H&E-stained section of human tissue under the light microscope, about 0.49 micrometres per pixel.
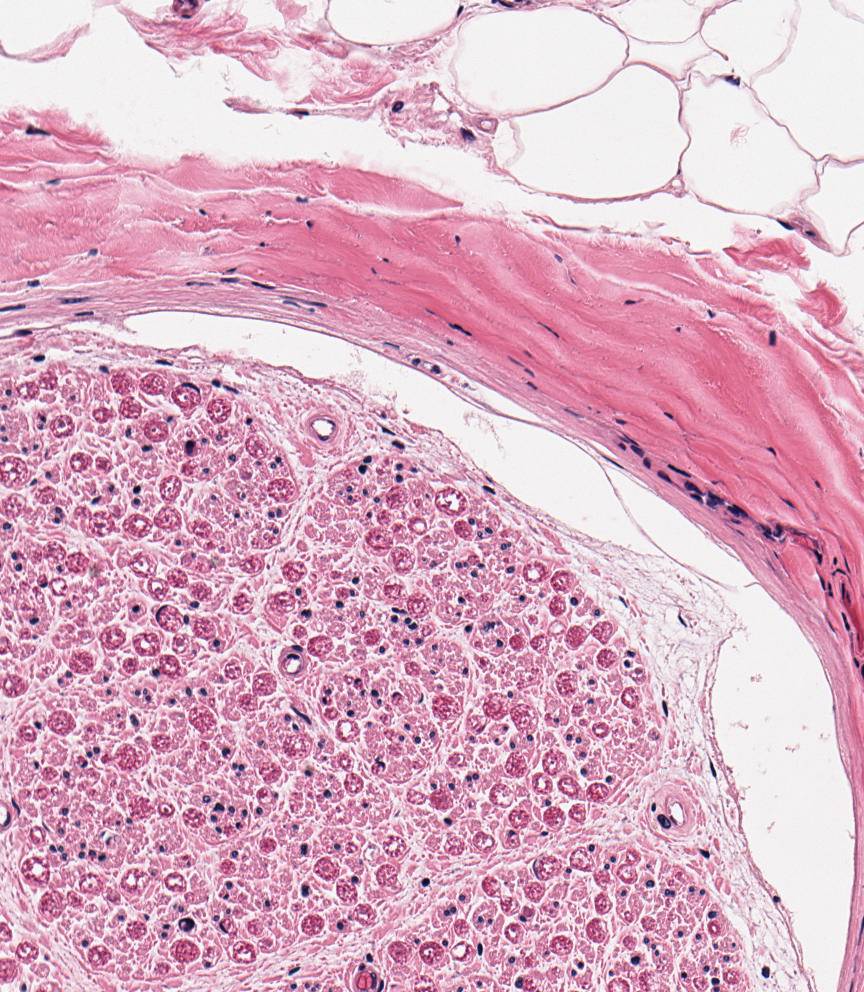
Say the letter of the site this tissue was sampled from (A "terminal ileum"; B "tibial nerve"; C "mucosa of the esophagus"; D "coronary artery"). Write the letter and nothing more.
B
